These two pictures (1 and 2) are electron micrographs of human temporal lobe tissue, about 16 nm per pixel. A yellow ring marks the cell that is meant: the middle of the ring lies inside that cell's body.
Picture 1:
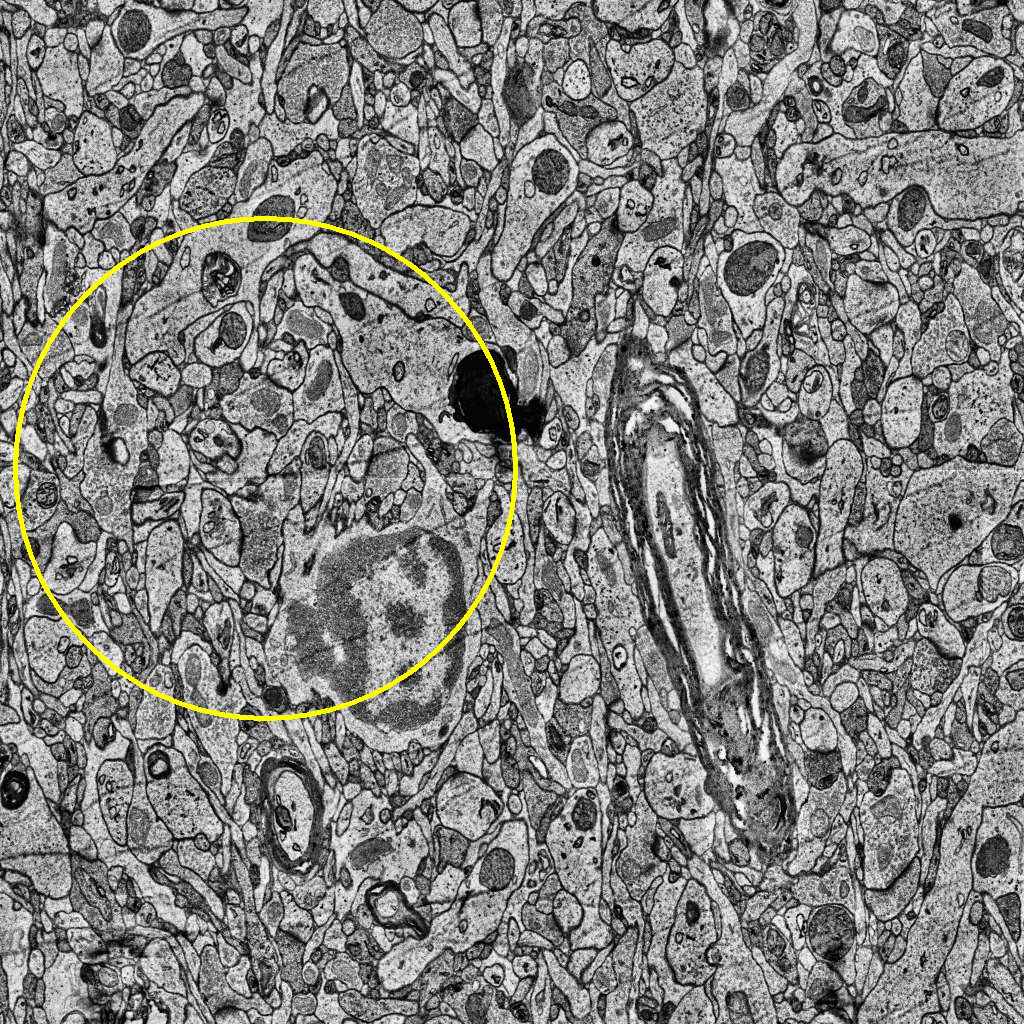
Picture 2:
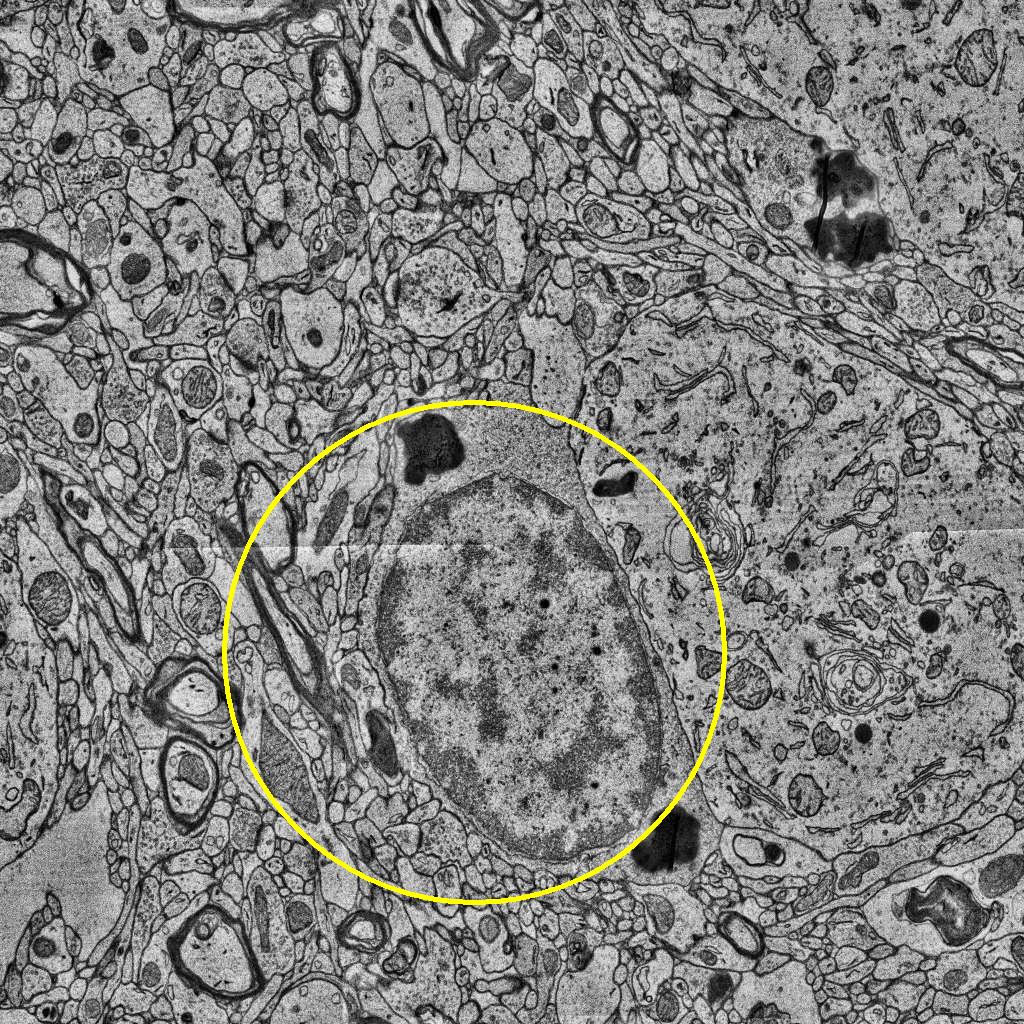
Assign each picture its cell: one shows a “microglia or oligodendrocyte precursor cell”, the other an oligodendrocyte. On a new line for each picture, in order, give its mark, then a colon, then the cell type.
1: microglia or oligodendrocyte precursor cell
2: oligodendrocyte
